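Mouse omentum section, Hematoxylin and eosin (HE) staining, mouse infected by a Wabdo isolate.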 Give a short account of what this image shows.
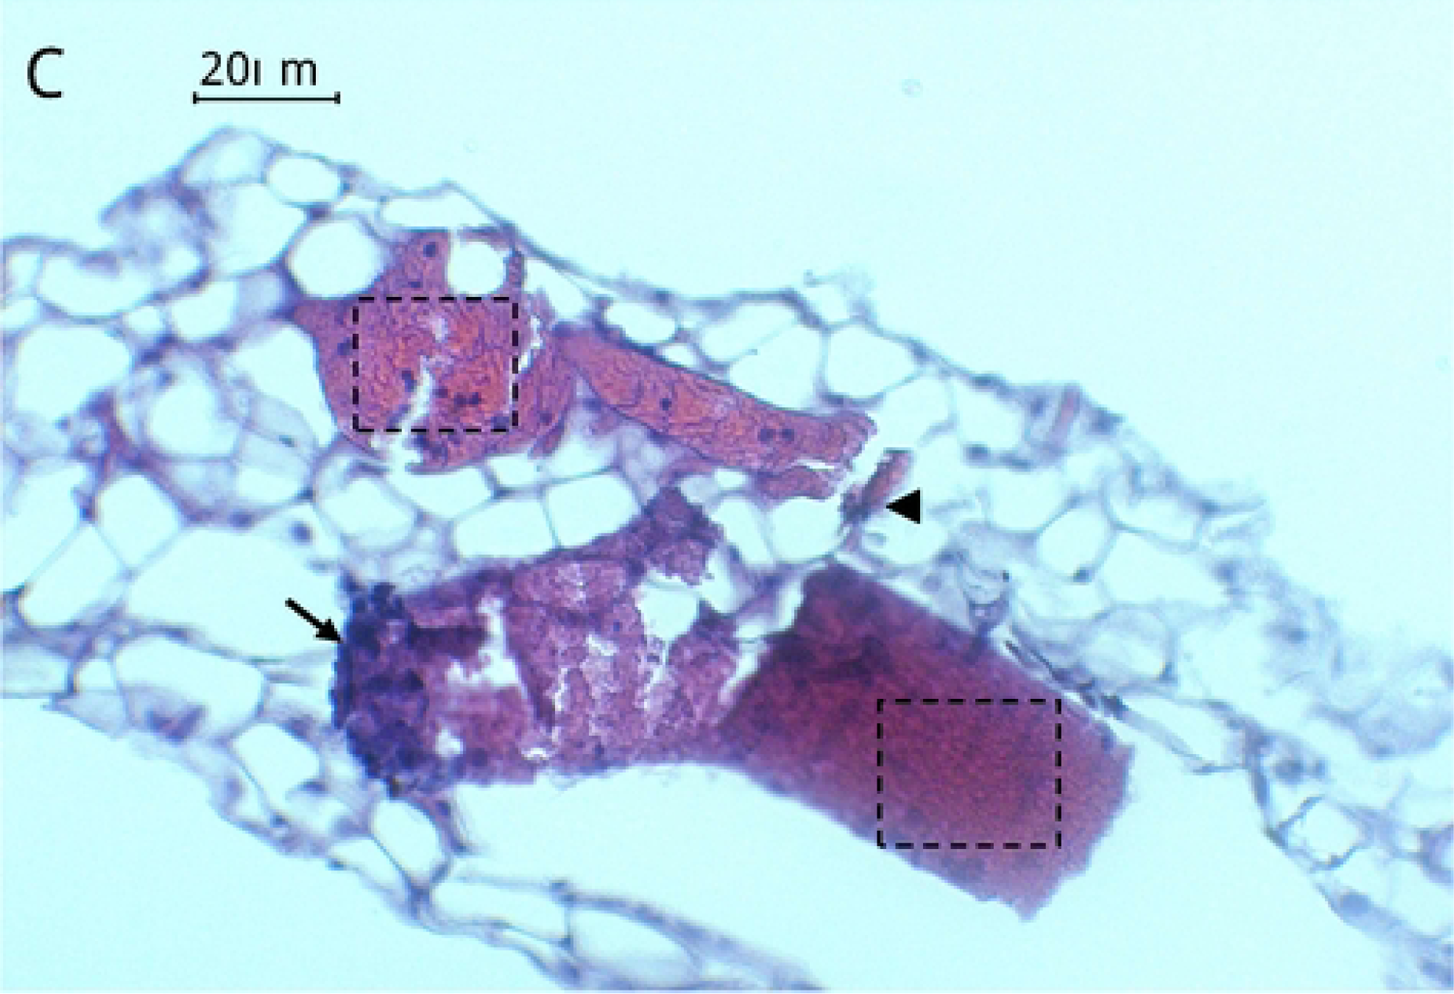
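Two elongated pink-red masses lie within the tissue, made of densely packed red blood cells with more homogeneous pink fibrin-like material. At one edge of the lower mass a cluster of dark purple nuclei sits on its surface. A few scattered dark nuclei are also seen within and around the upper mass.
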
